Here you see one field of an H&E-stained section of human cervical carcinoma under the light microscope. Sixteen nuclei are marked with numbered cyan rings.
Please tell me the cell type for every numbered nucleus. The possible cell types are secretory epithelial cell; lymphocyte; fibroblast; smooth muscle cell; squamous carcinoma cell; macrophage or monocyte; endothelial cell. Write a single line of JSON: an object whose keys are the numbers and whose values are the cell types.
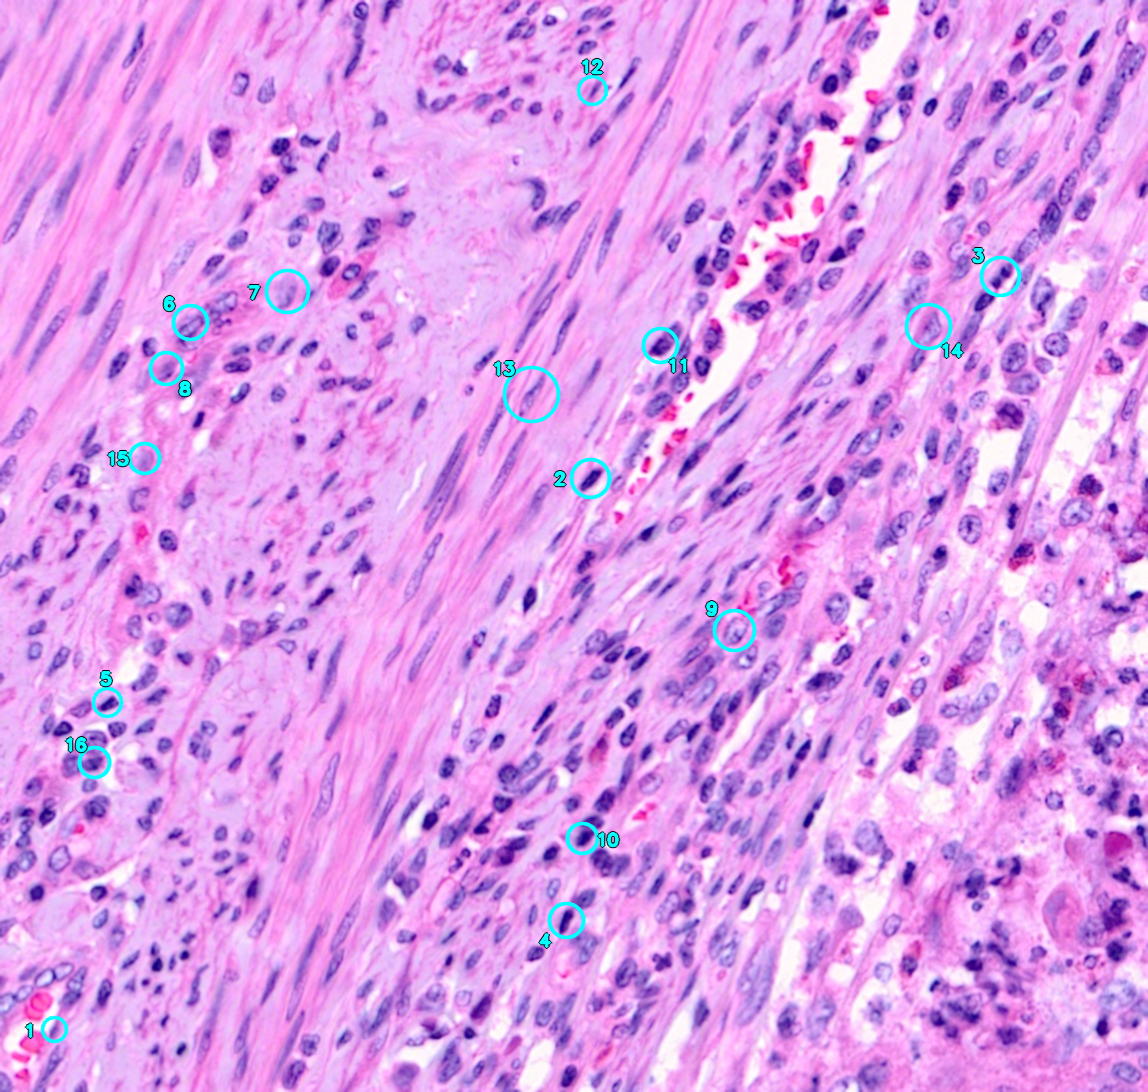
{"1": "endothelial cell", "2": "lymphocyte", "3": "lymphocyte", "4": "lymphocyte", "5": "lymphocyte", "6": "endothelial cell", "7": "endothelial cell", "8": "endothelial cell", "9": "endothelial cell", "10": "lymphocyte", "11": "lymphocyte", "12": "smooth muscle cell", "13": "smooth muscle cell", "14": "endothelial cell", "15": "endothelial cell", "16": "lymphocyte"}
